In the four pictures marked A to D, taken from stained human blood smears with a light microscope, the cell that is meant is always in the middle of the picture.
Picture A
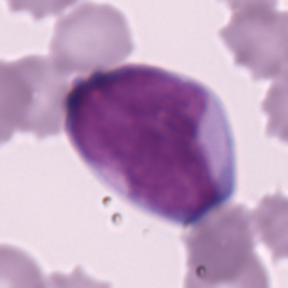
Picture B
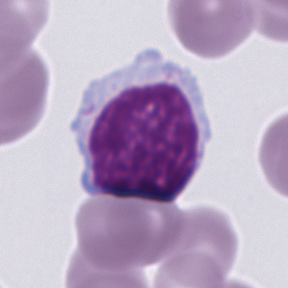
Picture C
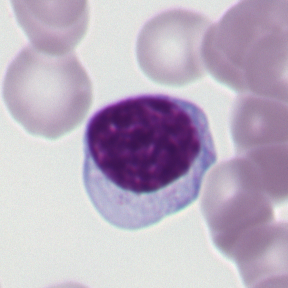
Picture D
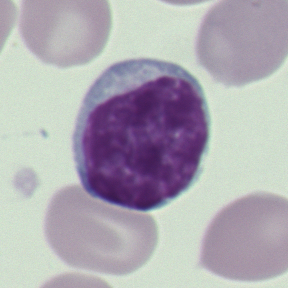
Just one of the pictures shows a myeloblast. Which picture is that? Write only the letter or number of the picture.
A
